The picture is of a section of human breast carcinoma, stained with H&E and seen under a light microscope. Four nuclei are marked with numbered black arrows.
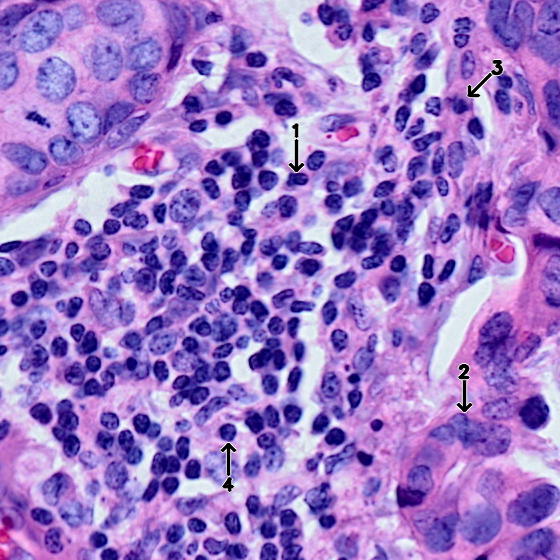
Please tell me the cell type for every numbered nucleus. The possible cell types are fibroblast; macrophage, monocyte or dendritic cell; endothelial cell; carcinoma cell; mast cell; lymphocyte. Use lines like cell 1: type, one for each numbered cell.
cell 1: lymphocyte
cell 2: carcinoma cell
cell 3: lymphocyte
cell 4: lymphocyte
